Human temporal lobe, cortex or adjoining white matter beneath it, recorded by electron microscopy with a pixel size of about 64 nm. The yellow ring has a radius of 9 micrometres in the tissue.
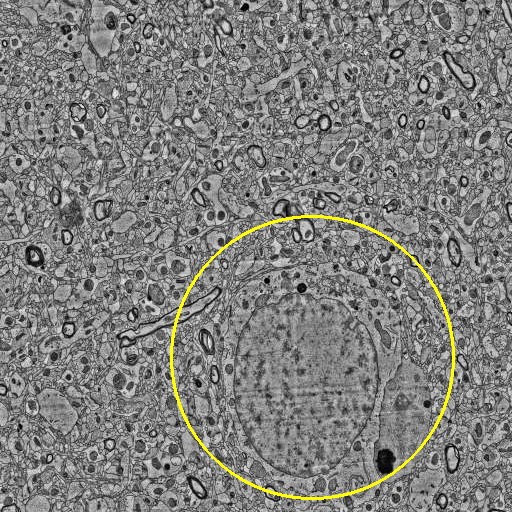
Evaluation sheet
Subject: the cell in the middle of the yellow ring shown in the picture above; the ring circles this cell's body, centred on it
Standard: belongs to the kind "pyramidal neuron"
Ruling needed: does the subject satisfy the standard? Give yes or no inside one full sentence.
No, the cell in the middle of the ring in the picture above belongs to some other kind.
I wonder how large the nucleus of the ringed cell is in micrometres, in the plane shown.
In this plane the nucleus is about 12 micrometres by 9.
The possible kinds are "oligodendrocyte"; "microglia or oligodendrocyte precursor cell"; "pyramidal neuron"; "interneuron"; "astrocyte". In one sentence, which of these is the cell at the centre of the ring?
The ring holds an interneuron at its centre.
